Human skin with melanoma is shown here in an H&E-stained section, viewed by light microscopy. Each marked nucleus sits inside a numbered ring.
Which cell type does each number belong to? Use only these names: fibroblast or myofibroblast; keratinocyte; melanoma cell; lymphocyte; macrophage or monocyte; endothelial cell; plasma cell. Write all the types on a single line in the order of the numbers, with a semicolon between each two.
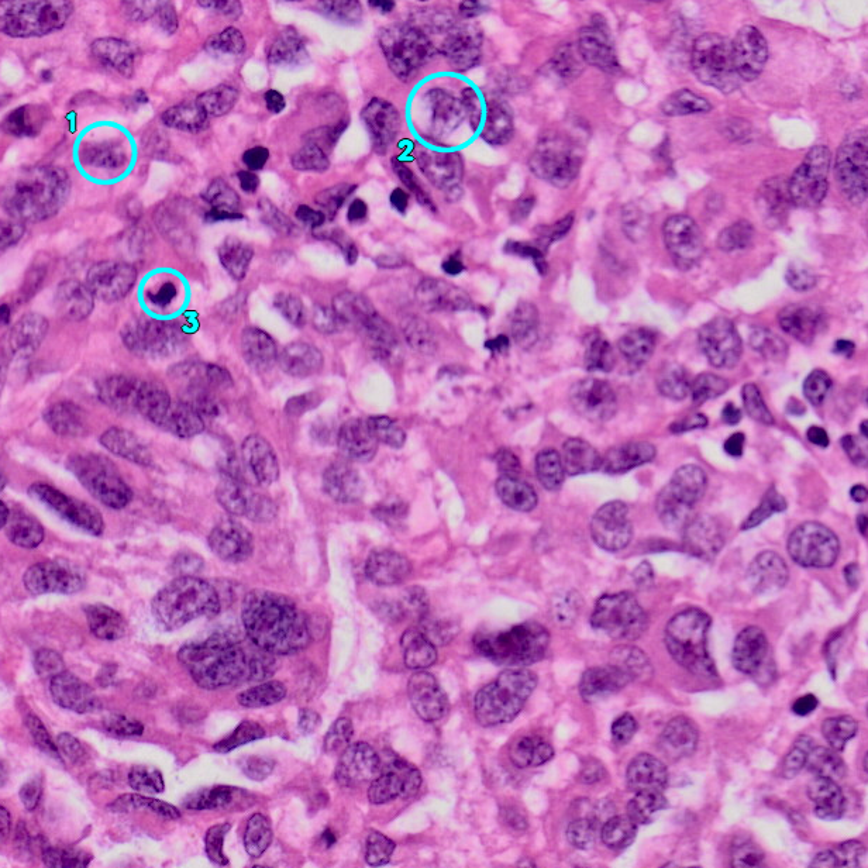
melanoma cell; melanoma cell; lymphocyte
